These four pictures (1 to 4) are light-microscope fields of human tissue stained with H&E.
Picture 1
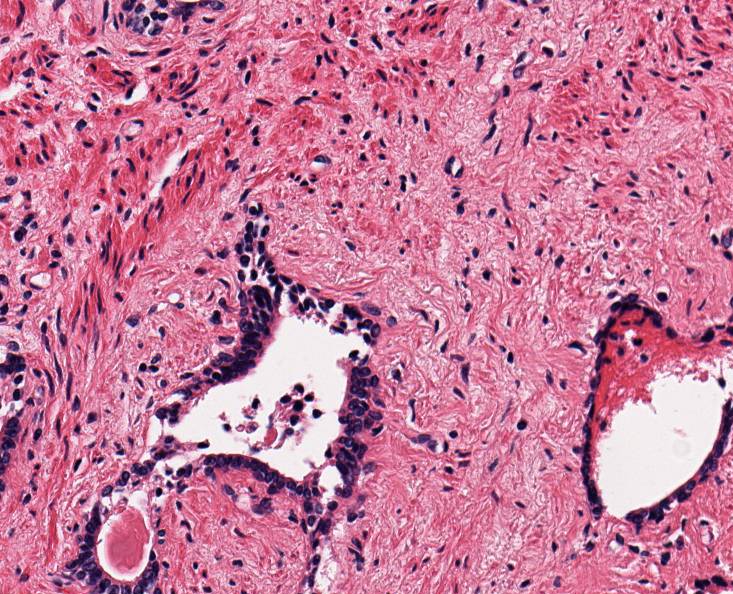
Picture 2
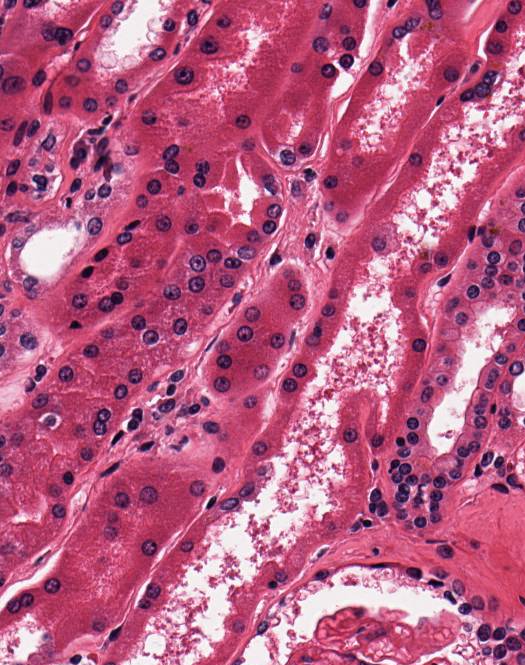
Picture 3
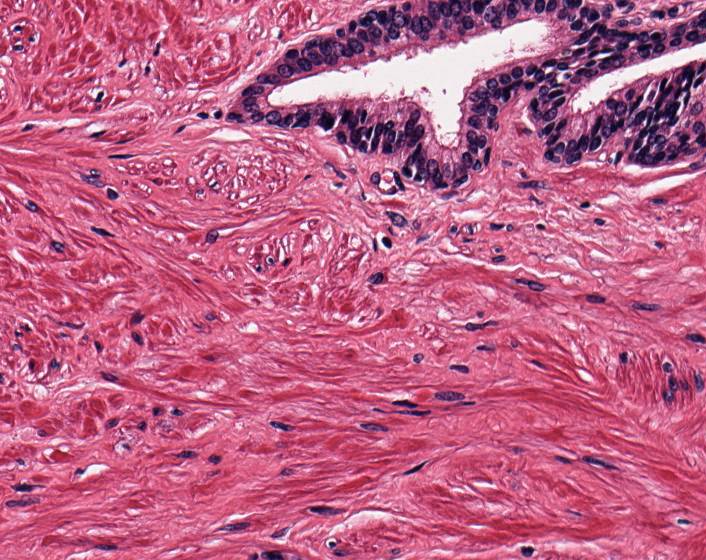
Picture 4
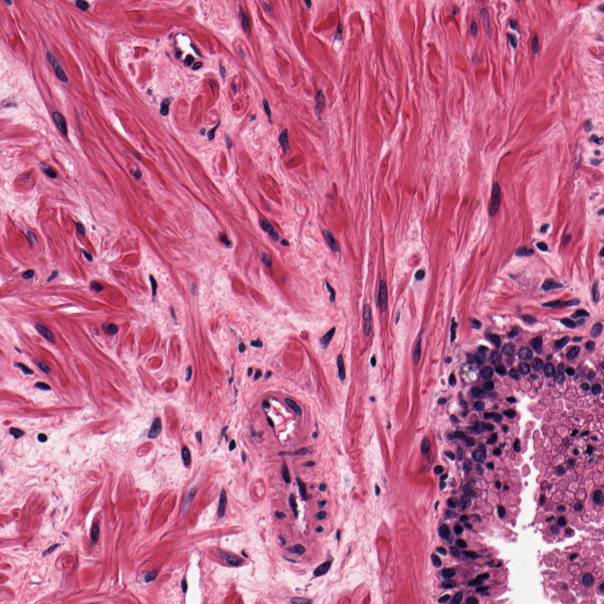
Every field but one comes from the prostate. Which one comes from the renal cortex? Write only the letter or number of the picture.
2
